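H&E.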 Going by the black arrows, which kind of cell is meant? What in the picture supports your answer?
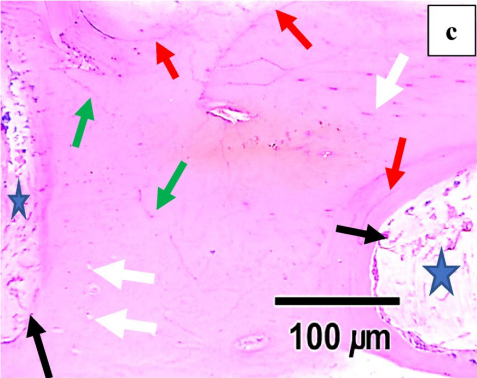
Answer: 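The arrows point to cells at the margin of the bone next to marrow spaces. So: osteoblasts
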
